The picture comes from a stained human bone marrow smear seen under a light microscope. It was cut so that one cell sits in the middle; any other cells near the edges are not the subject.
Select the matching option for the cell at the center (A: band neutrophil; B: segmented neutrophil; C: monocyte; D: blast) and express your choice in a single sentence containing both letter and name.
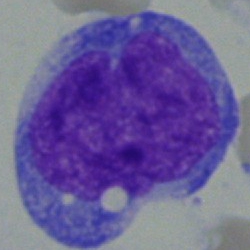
The cell centered in the crop is a blast, making option D the correct pick.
